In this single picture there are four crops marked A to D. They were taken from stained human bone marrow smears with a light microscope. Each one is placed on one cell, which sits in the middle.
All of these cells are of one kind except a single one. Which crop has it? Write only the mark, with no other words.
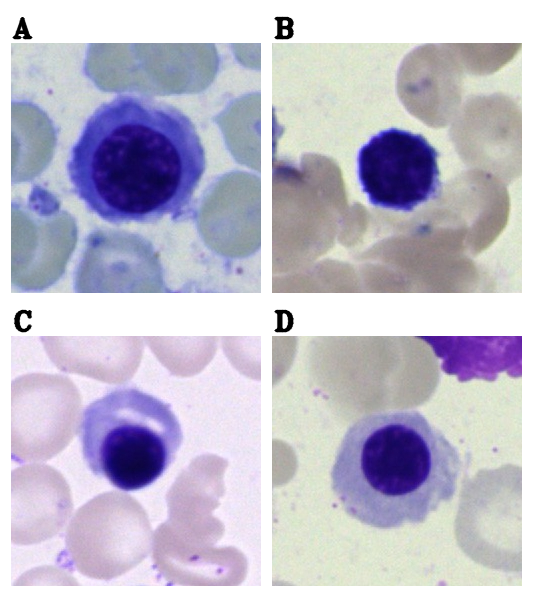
B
